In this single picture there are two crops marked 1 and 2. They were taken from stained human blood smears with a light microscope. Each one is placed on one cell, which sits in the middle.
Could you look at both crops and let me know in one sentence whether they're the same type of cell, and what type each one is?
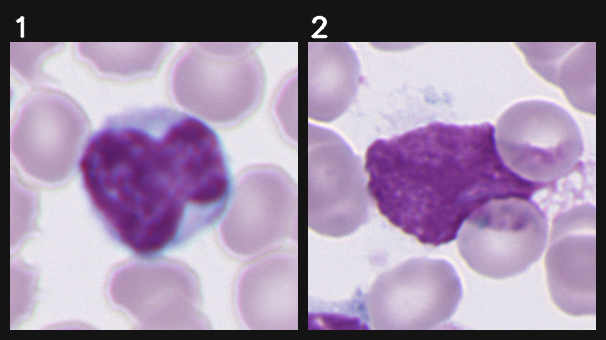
No, crop 1 features a typical lymphocyte, while crop 2 features a smudge cell.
